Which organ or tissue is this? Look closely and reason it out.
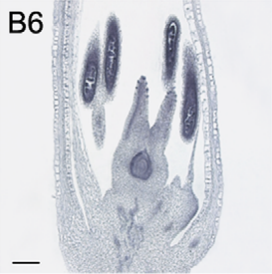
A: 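The organs are enclosed by outer floral bracts. The answer: flowers.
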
